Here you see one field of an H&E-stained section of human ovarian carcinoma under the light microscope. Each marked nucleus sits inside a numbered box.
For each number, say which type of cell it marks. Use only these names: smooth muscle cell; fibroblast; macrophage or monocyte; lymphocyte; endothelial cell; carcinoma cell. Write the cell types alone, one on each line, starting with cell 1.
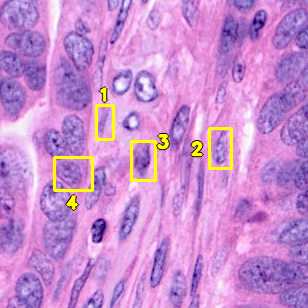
fibroblast
fibroblast
fibroblast
carcinoma cell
